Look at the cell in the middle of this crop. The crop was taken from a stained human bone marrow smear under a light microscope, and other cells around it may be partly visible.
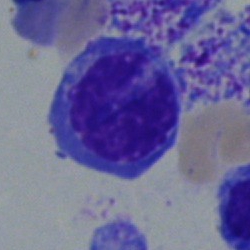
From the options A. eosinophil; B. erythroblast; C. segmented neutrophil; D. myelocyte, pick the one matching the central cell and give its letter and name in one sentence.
The cell in the center of this crop is an erythroblast, so option B is the one to pick.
